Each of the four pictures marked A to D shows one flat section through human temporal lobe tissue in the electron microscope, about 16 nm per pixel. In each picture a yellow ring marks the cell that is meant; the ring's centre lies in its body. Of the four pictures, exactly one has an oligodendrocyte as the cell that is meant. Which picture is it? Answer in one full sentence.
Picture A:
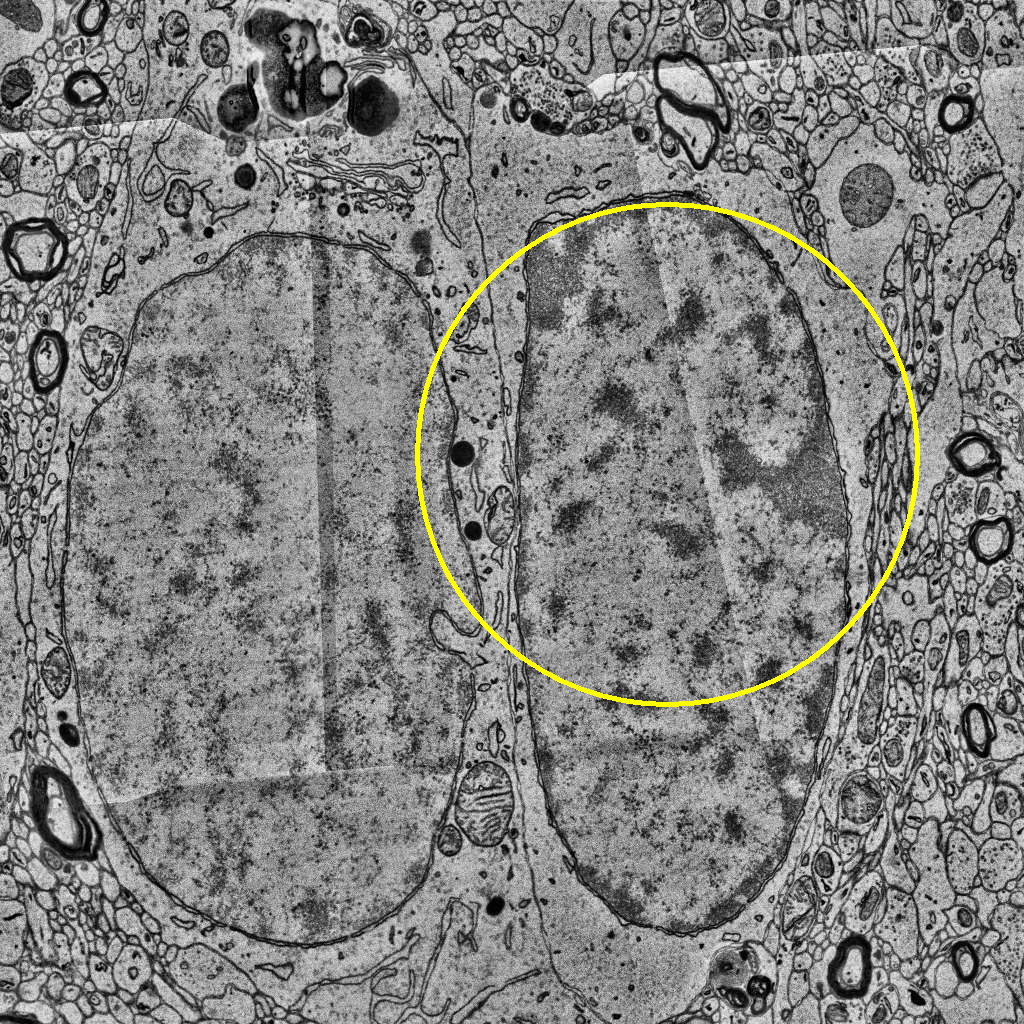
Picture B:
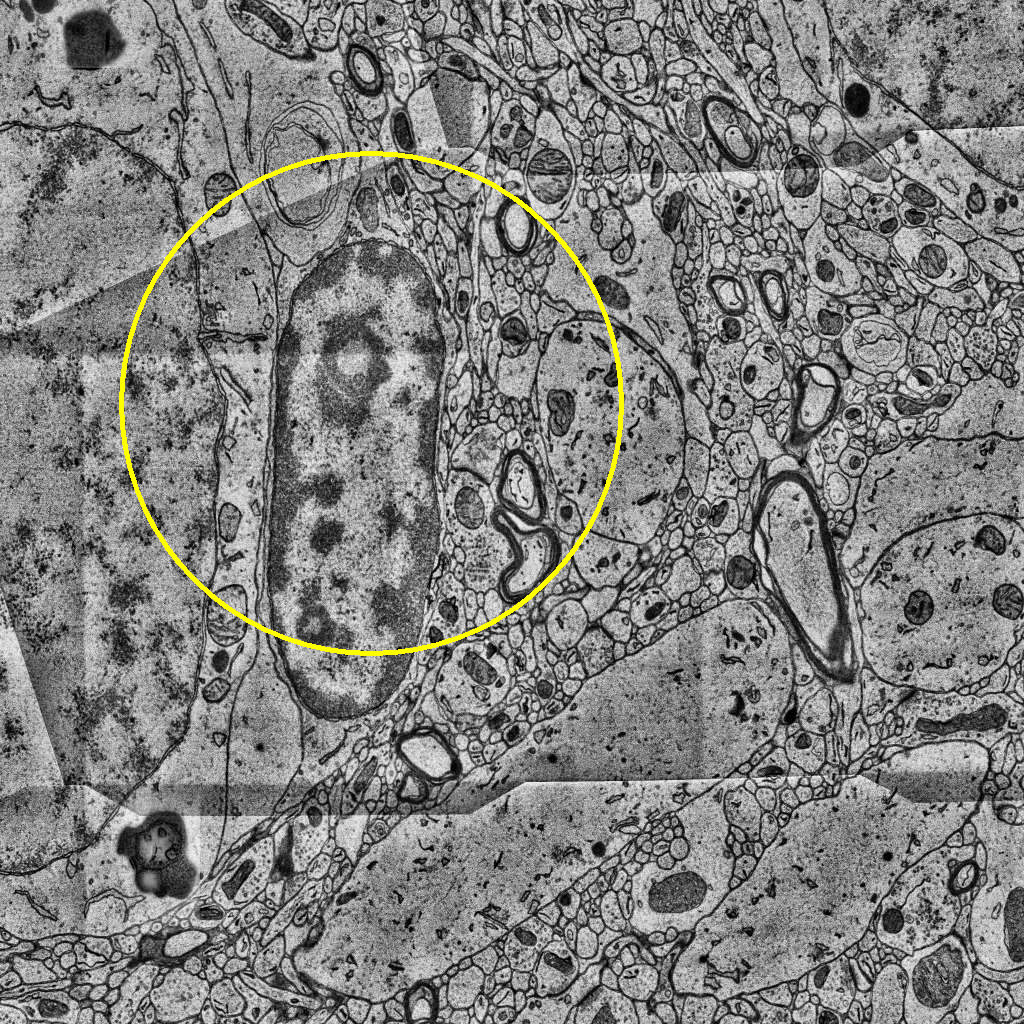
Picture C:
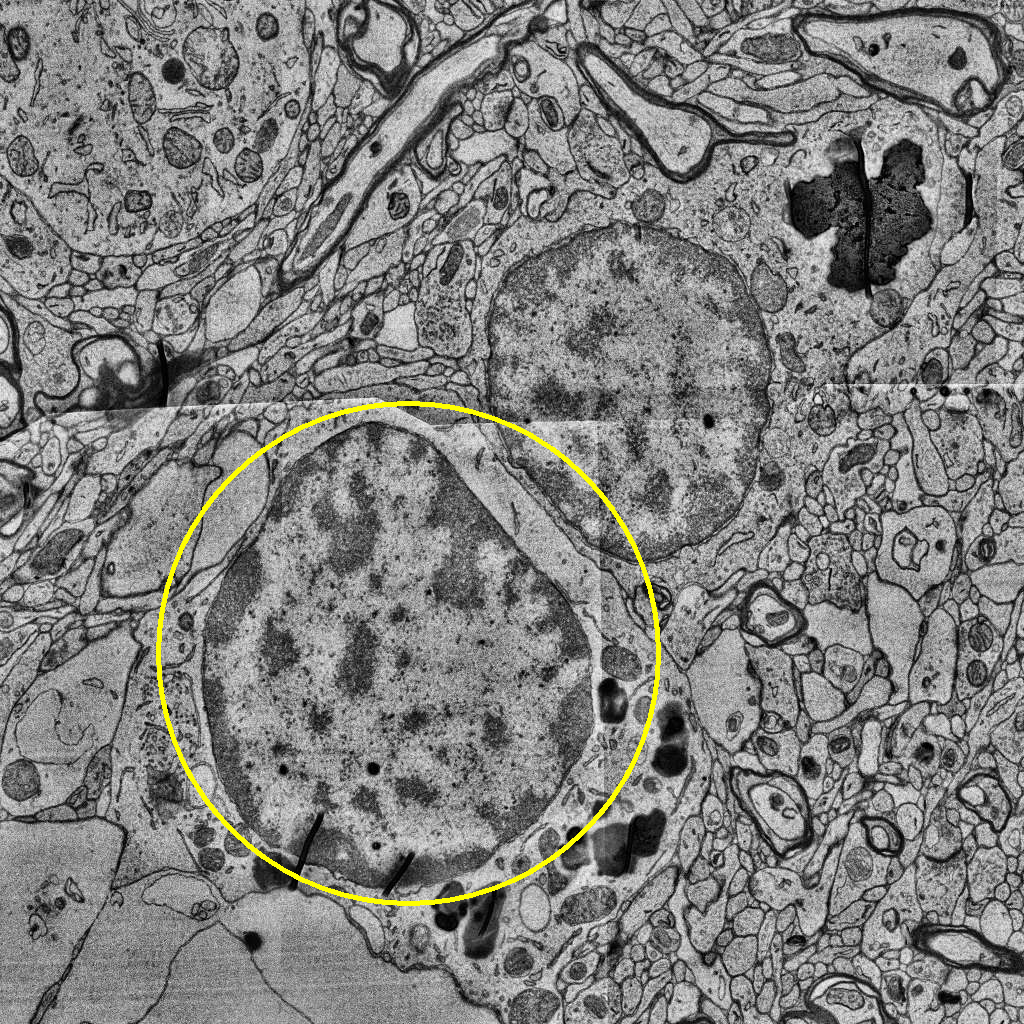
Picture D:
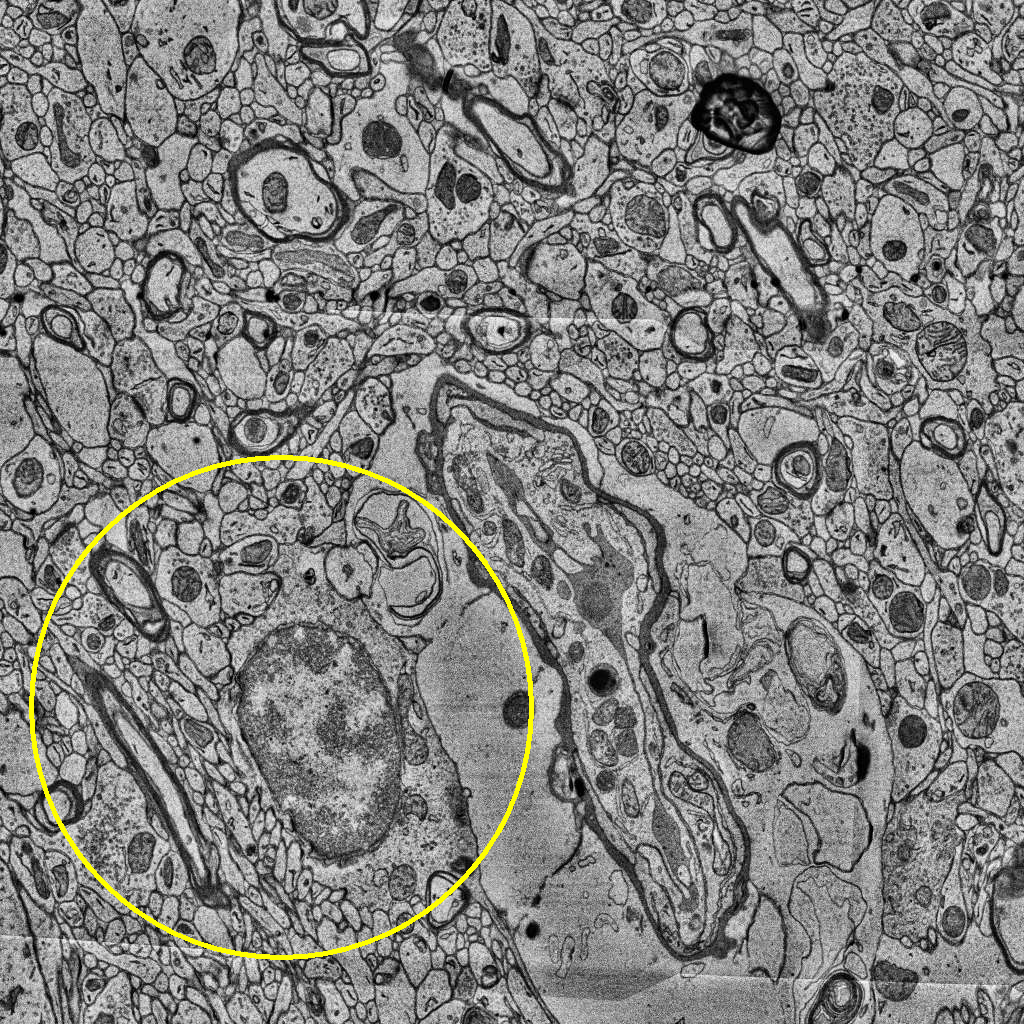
Picture D shows the oligodendrocyte.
